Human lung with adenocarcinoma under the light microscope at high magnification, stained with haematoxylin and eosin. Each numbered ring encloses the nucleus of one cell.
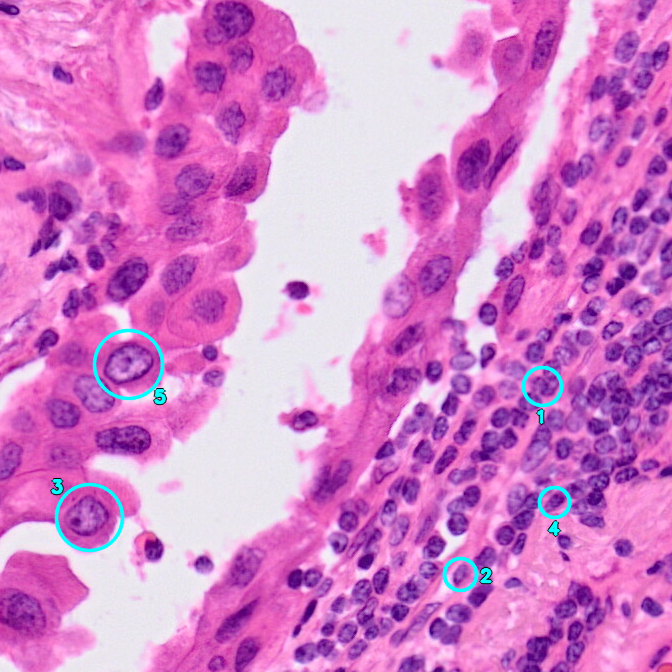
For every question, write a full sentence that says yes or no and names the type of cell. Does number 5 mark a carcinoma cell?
Yes, the cell with number 5 is a carcinoma cell.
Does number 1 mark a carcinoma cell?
No, number 1 is not a carcinoma cell; it is a lymphocyte.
